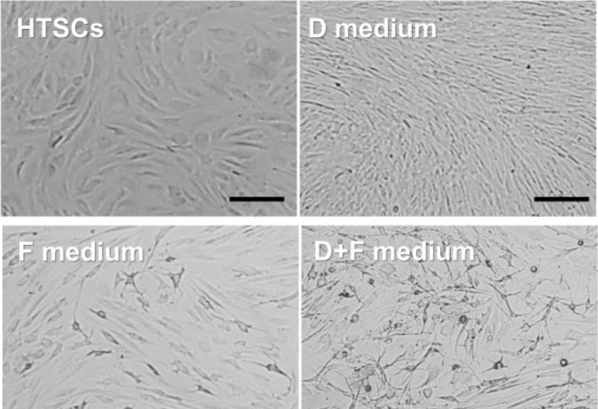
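In the upper two images the cells are elongated, spindle-shaped and fibroblast-like. They lie closely packed and run in parallel, swirling streams that cover the dish as a near-confluent sheet. In the lower two images the cells are sparser and have changed form. Many have smaller, more rounded or angular bodies with thin, branching processes that reach toward neighbouring cells. Scattered small, round, dark-rimmed refractile cells stand out, and they are most numerous in the lower right image, where a network of processes lies over a flatter background layer.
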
